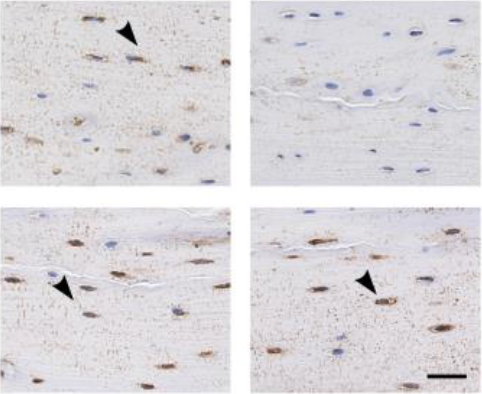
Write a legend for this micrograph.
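Four frames of compact cortical bone with osteocytes lying singly in lacunae, spaced through a pale, faintly lamellar matrix. The osteocyte nuclei are small, elongated and spindle-shaped, oriented roughly parallel to the lamellae. In three frames many osteocytes are brown, and fine brown dots are scattered through the surrounding matrix; in the remaining frame most osteocytes show only blue counterstained nuclei and the matrix has little brown stippling. No marrow or surface cells are included.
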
